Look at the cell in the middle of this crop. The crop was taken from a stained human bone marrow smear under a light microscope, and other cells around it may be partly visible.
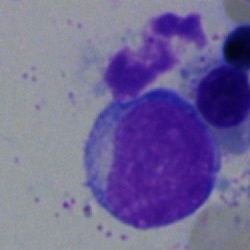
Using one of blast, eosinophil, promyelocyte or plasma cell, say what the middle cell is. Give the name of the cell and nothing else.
blast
